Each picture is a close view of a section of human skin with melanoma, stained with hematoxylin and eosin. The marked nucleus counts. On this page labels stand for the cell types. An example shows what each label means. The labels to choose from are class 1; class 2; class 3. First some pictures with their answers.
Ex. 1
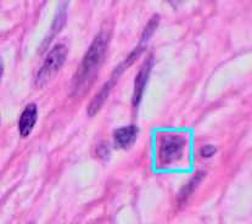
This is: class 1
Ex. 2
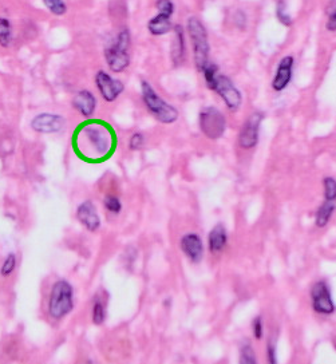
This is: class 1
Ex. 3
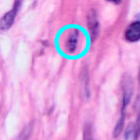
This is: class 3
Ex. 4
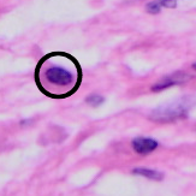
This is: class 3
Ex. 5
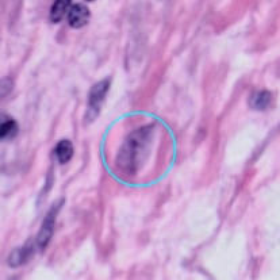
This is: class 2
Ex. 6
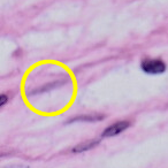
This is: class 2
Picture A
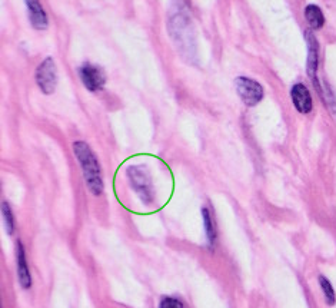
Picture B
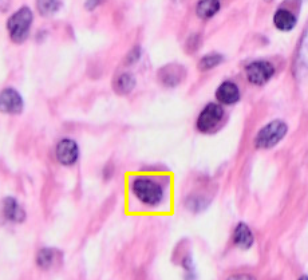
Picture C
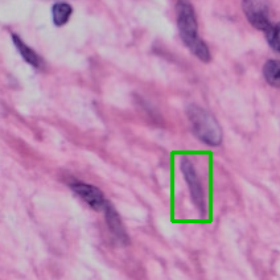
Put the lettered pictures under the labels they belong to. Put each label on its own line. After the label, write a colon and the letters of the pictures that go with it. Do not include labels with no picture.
class 2: A, C
class 3: B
